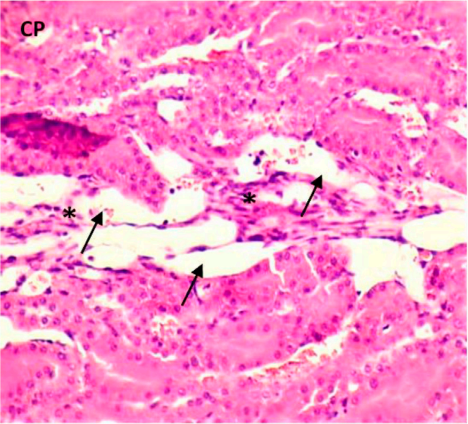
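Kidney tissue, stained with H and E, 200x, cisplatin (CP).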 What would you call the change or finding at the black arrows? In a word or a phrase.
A: Tubular dilatation.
